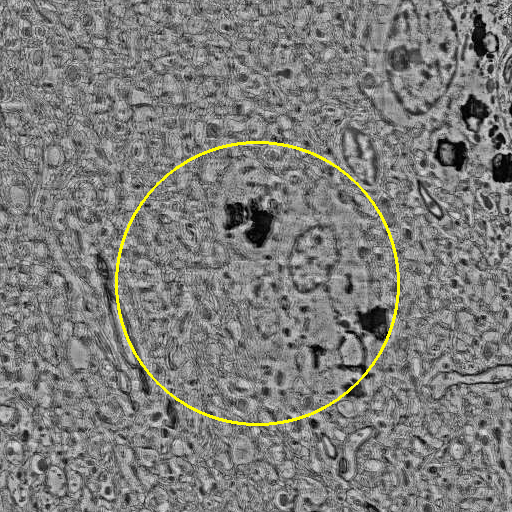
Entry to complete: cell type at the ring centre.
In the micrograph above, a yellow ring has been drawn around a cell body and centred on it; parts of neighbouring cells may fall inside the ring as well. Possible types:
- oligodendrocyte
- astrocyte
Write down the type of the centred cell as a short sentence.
The ring is centred on an astrocyte.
